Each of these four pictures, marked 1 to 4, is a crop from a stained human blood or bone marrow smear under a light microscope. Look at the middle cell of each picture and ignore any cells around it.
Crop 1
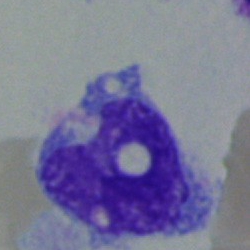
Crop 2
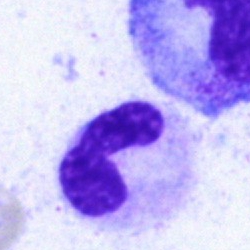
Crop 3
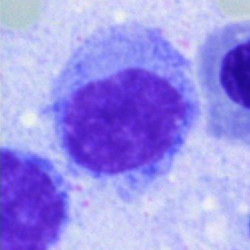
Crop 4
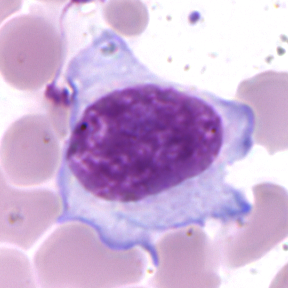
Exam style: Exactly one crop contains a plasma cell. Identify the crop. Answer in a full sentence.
Crop 4, of the crops presented, is the one showing a plasma cell.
